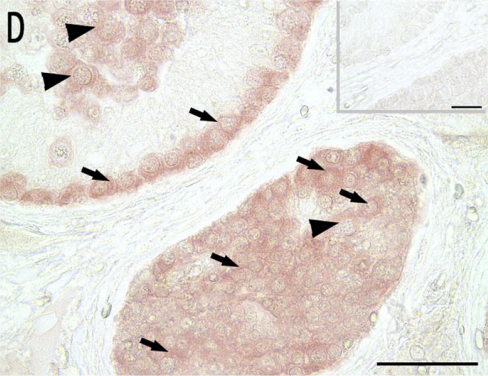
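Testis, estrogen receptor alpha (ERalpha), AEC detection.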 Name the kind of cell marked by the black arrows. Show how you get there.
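They are round cells with pink-stained cytoplasm.
Spermatogonia.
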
